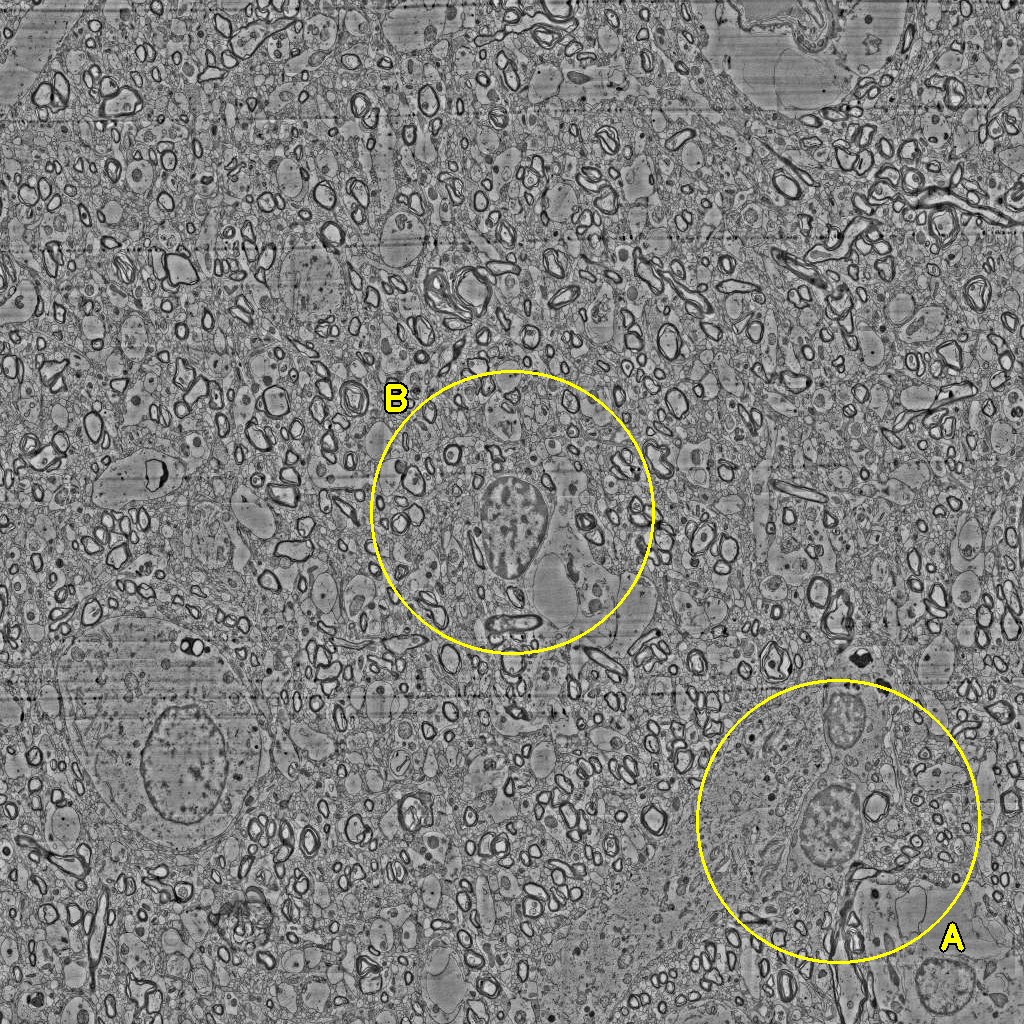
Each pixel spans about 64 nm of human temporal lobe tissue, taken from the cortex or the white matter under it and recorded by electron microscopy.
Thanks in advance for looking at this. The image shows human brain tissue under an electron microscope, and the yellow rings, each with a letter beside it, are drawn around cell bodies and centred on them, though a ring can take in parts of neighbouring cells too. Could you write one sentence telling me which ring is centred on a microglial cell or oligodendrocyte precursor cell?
Ring B is centred on it.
